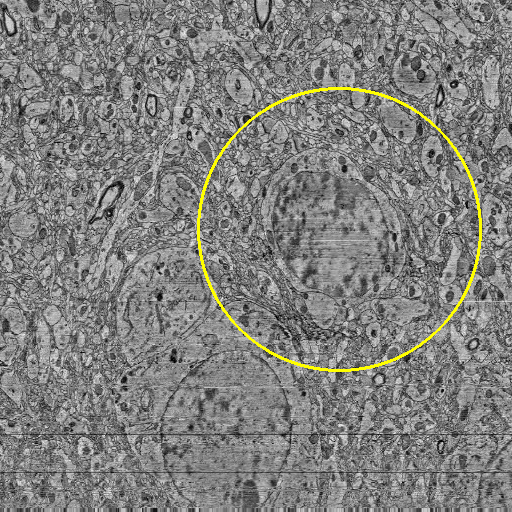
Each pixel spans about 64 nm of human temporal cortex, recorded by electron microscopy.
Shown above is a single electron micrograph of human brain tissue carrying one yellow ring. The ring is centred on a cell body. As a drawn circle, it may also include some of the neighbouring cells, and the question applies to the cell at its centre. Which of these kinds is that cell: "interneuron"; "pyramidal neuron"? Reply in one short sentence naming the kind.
The cell marked by the ring is an interneuron.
